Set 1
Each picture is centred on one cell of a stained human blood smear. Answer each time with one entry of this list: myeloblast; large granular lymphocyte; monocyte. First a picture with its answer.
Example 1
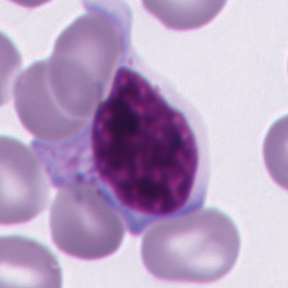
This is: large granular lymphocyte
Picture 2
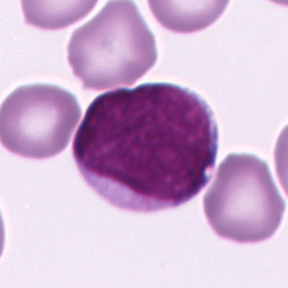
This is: myeloblast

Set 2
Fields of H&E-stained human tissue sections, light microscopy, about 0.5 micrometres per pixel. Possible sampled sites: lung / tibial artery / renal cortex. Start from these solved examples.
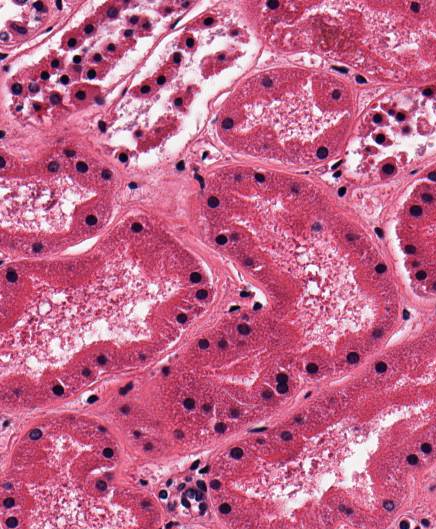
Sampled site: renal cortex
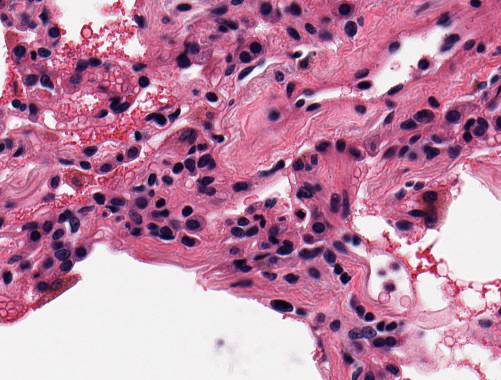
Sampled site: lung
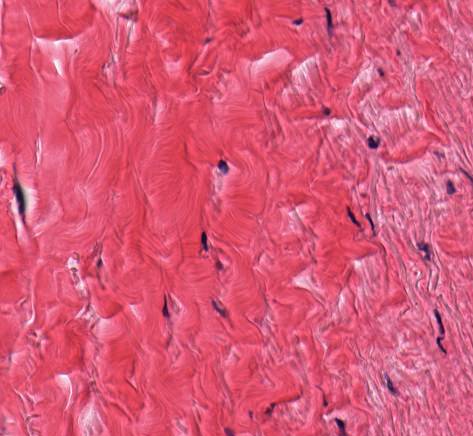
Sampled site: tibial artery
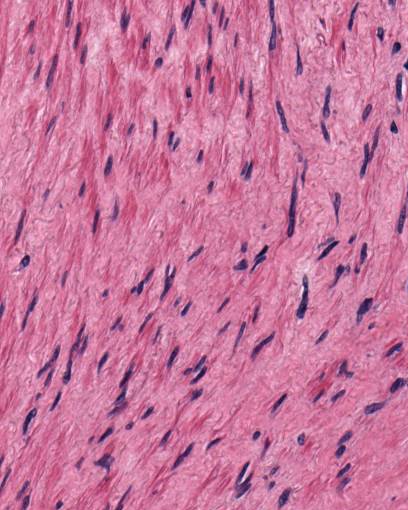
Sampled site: tibial artery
